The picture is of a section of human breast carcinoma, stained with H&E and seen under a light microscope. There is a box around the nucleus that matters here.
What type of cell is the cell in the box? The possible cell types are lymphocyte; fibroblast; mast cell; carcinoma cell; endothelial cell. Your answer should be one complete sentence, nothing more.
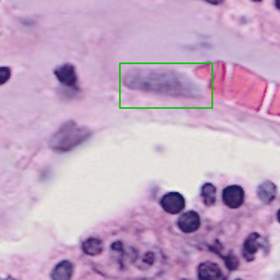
The classification of the cell in the box is as an endothelial cell.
